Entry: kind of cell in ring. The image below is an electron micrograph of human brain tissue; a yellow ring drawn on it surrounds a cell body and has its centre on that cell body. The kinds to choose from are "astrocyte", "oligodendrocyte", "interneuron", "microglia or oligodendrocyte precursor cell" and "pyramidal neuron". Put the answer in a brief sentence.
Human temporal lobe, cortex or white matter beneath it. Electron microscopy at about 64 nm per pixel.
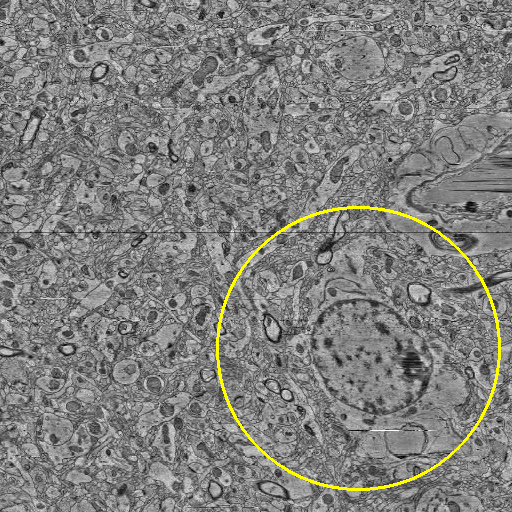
The ring has been drawn around an astrocyte.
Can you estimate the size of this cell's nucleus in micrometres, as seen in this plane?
Roughly 8 micrometres by 7 micrometres, in this plane.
